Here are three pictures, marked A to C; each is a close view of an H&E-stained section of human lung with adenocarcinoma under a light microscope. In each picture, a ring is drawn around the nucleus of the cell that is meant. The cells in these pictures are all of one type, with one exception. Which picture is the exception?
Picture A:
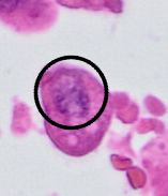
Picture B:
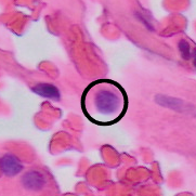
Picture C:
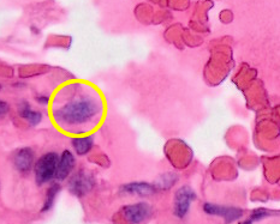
A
